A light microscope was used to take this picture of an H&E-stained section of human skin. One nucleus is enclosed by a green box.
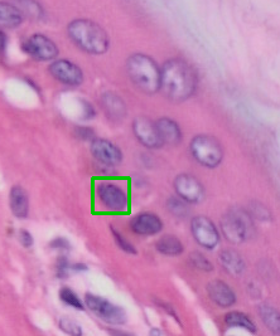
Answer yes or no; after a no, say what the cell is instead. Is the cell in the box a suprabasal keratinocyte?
No, it is a basal keratinocyte.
